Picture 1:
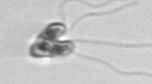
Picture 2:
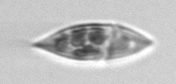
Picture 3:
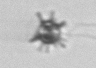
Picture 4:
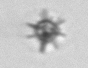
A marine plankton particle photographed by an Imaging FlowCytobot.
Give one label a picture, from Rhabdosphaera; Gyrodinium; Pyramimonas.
1: Pyramimonas
2: Gyrodinium
3: Rhabdosphaera
4: Rhabdosphaera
